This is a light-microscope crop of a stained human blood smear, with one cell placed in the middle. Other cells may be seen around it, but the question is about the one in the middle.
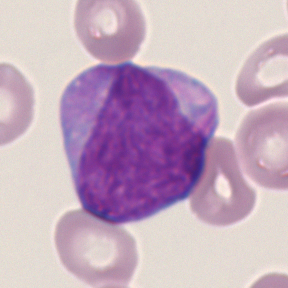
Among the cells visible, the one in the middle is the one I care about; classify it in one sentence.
The cell at the middle of the frame should be recorded as an atypical promyelocyte.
